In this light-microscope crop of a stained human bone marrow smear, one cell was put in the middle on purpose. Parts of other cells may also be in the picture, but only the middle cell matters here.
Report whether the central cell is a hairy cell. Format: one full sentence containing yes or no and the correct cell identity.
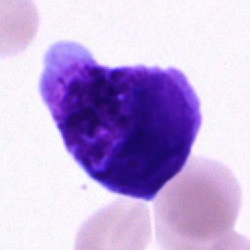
No, the centre cell is not a hairy cell but a blast.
